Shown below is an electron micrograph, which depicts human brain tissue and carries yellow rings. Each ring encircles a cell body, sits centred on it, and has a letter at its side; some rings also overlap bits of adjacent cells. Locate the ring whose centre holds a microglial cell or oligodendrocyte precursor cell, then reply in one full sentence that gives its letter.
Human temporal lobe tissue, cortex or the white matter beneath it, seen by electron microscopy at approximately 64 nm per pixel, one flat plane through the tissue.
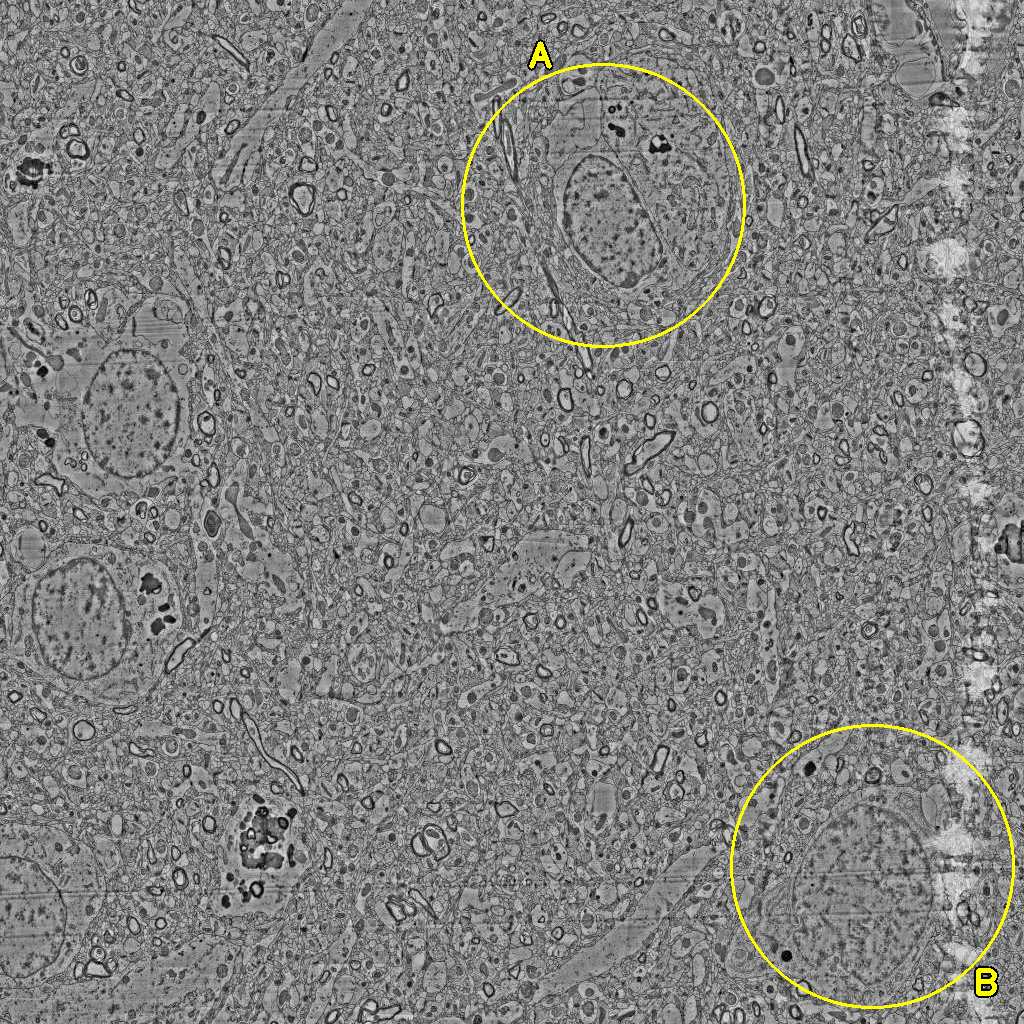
The ring centred on the cell asked for is the one marked A.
